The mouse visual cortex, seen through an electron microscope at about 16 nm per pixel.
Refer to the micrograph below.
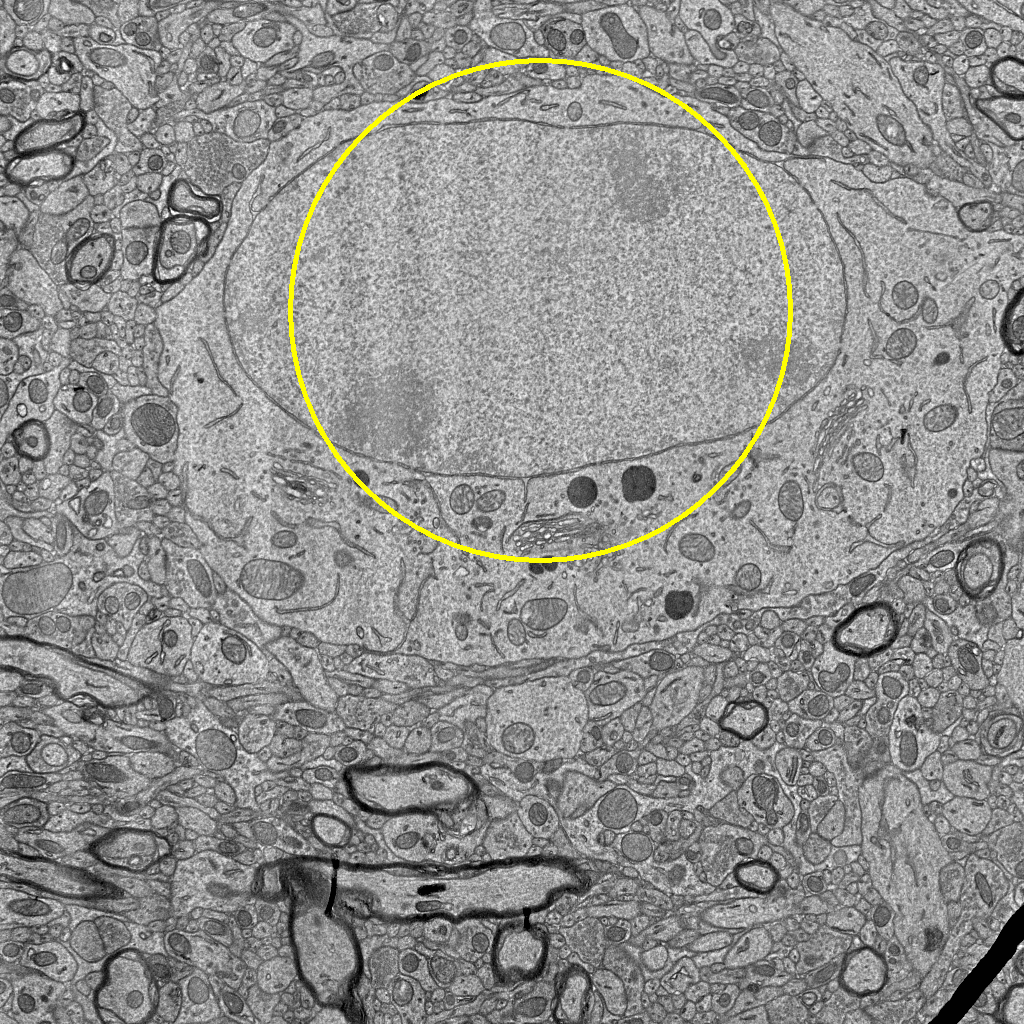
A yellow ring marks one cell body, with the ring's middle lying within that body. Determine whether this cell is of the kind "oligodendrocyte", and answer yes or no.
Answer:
no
